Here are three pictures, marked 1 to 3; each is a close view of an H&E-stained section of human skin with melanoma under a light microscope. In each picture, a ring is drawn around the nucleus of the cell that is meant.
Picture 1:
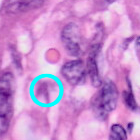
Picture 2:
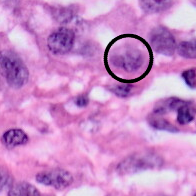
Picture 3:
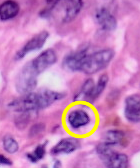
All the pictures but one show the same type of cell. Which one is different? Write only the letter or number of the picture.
3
